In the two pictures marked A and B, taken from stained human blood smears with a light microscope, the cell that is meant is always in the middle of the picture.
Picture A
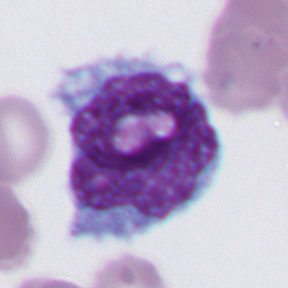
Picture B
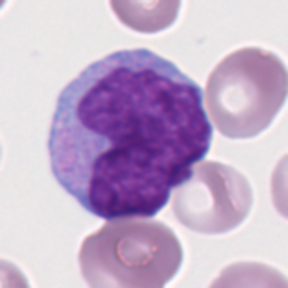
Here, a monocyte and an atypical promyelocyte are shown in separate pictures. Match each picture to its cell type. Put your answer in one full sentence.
It is picture A that shows a monocyte, and picture B that shows an atypical promyelocyte.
